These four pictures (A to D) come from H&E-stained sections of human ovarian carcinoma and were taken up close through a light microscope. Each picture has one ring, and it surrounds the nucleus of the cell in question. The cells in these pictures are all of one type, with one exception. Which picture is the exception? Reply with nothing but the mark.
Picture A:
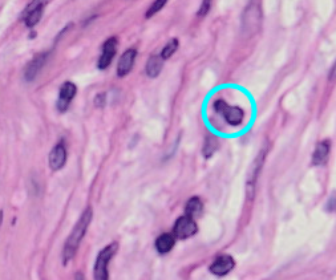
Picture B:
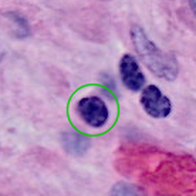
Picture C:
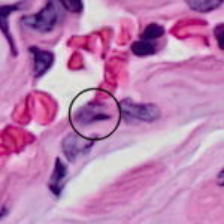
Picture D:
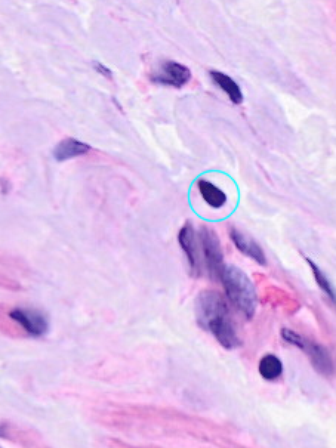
C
